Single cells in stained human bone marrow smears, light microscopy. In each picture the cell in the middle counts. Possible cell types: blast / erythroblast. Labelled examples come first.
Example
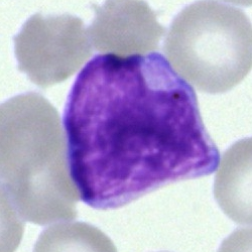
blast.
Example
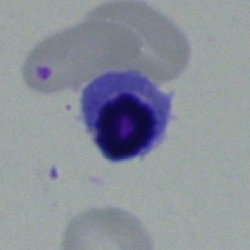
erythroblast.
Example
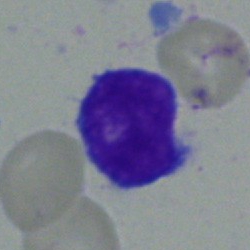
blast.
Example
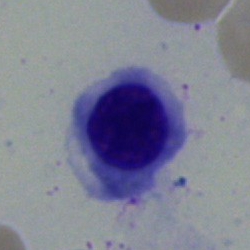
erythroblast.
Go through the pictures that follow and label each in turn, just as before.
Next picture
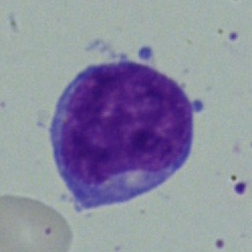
blast.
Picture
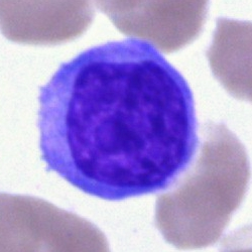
blast.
